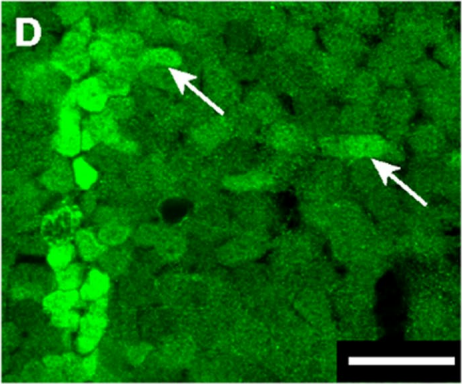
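A vertical column of brightly green, rounded to oval cells lies at the left of the field, with many more dimly green, closely packed cells spreading away from it through the parenchyma. Scattered among the dim cells are a few moderately bright, elongated oval cells.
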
